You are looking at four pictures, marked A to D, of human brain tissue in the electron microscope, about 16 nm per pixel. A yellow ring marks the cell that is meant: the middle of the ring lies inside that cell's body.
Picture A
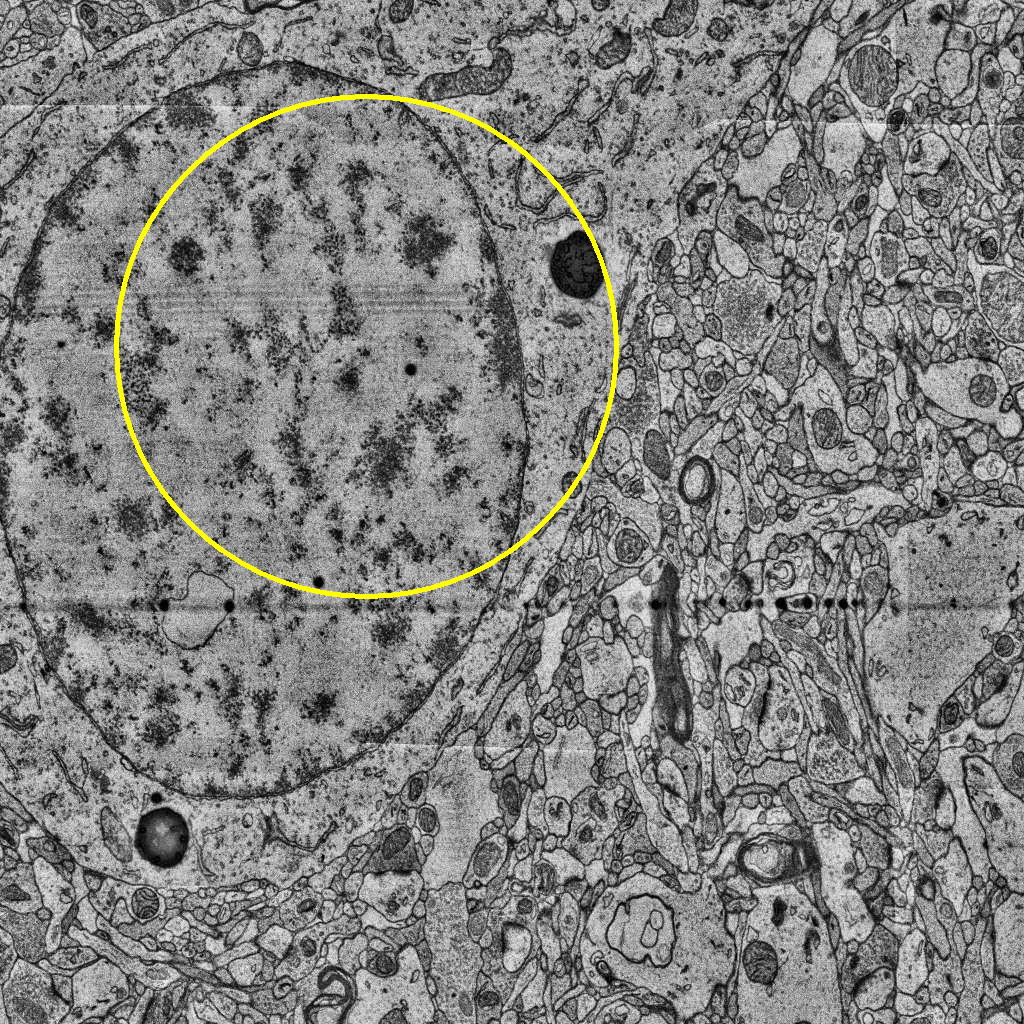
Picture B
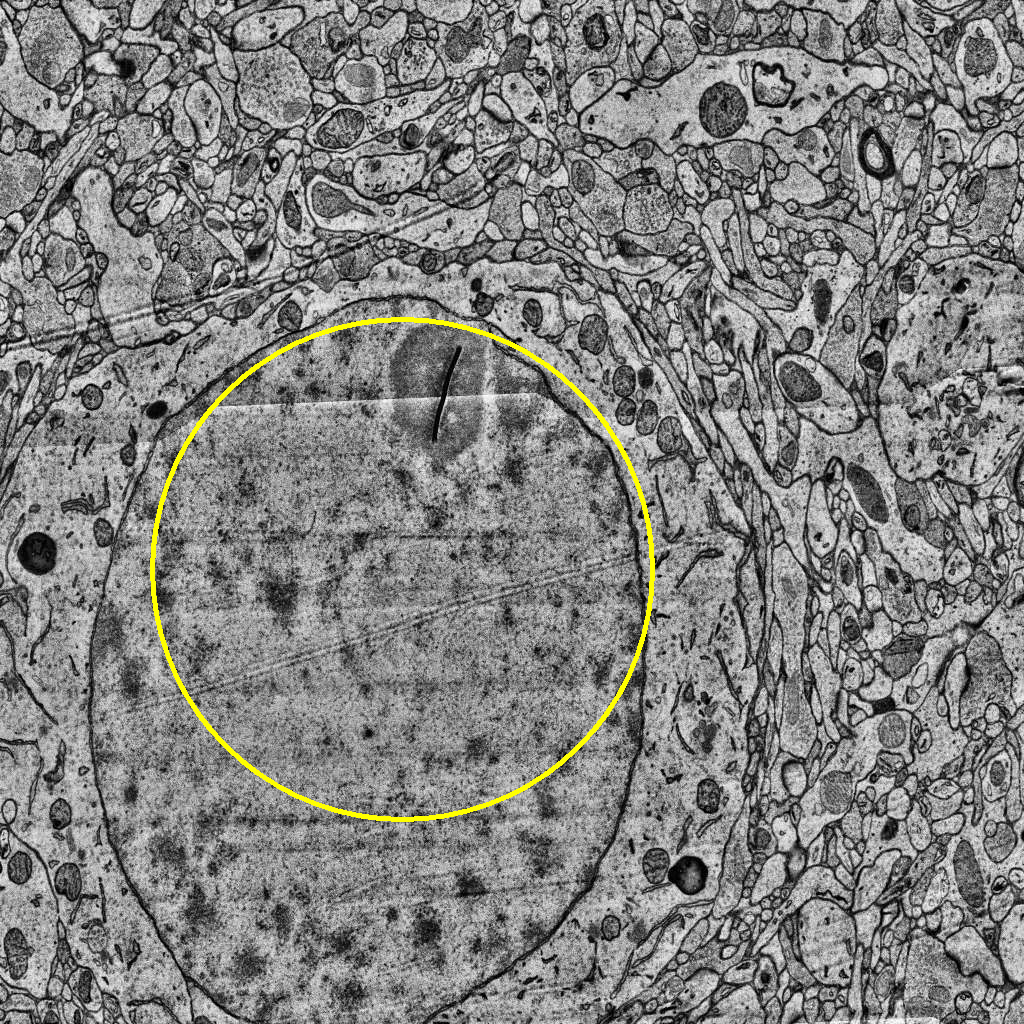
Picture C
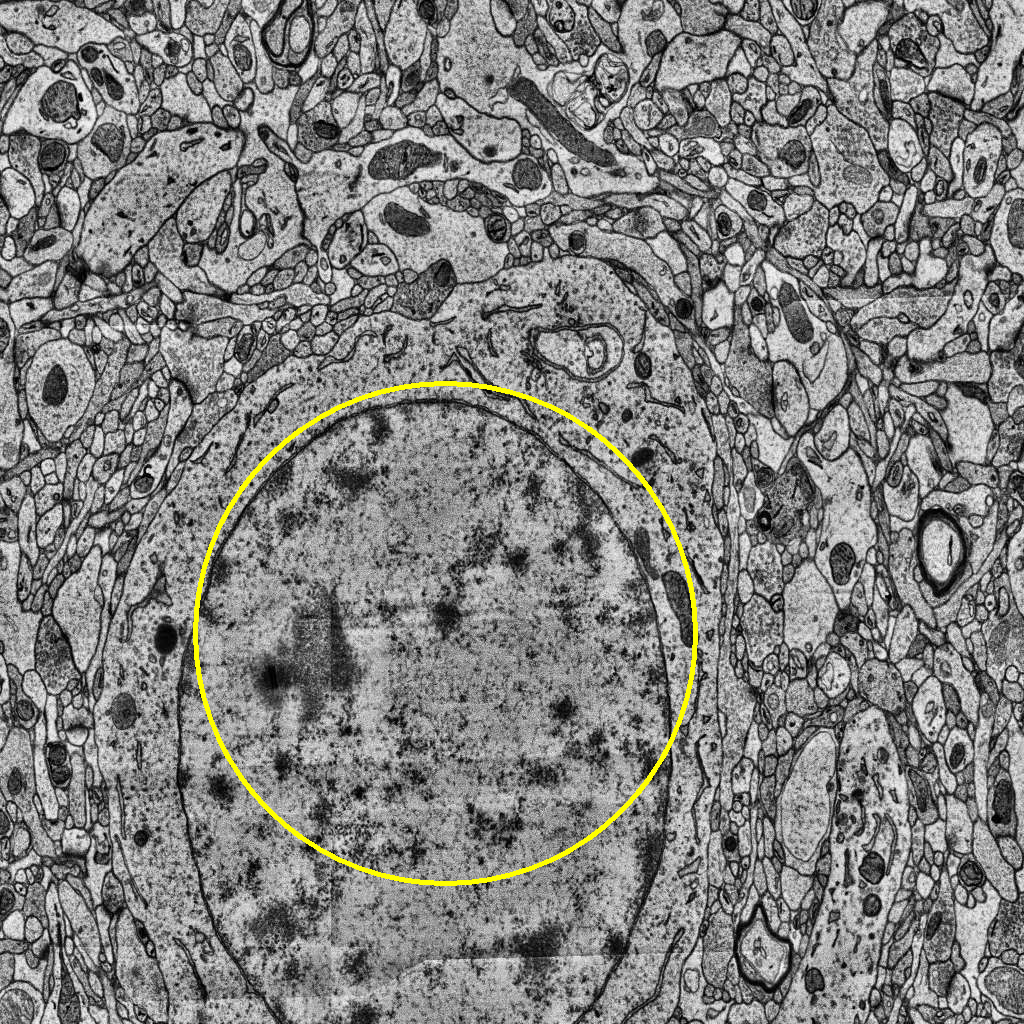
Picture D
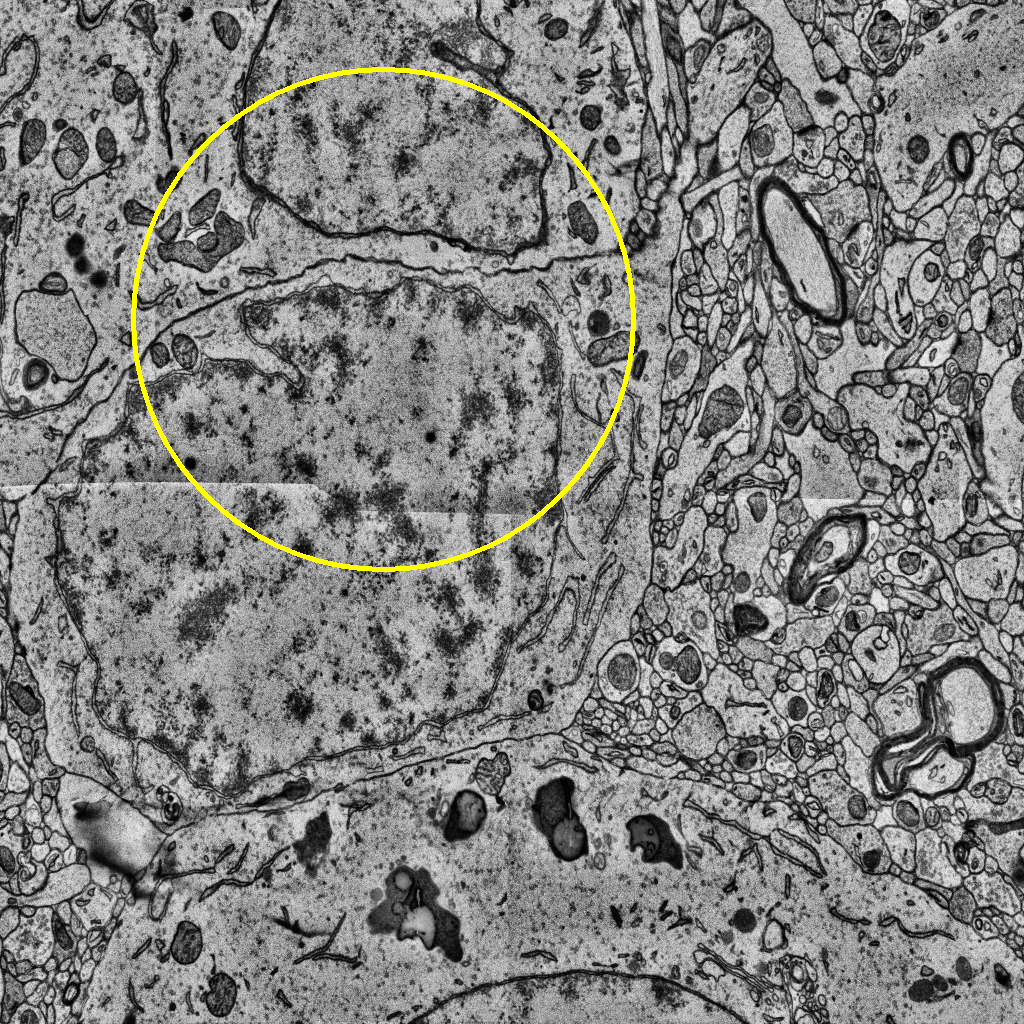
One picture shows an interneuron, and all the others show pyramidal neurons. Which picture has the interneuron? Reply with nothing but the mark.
D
